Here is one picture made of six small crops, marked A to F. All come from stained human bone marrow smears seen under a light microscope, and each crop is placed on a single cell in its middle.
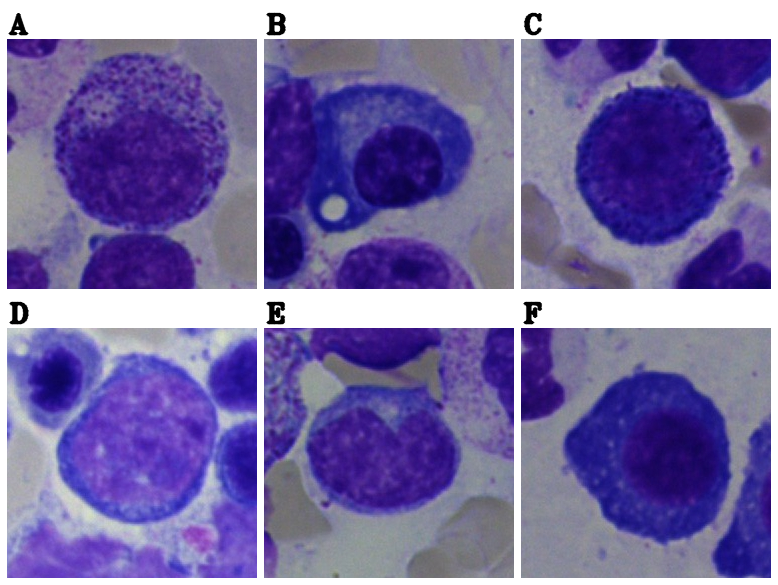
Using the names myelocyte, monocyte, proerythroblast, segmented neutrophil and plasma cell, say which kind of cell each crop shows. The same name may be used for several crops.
A: myelocyte
B: plasma cell
C: proerythroblast
D: proerythroblast
E: monocyte
F: plasma cell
